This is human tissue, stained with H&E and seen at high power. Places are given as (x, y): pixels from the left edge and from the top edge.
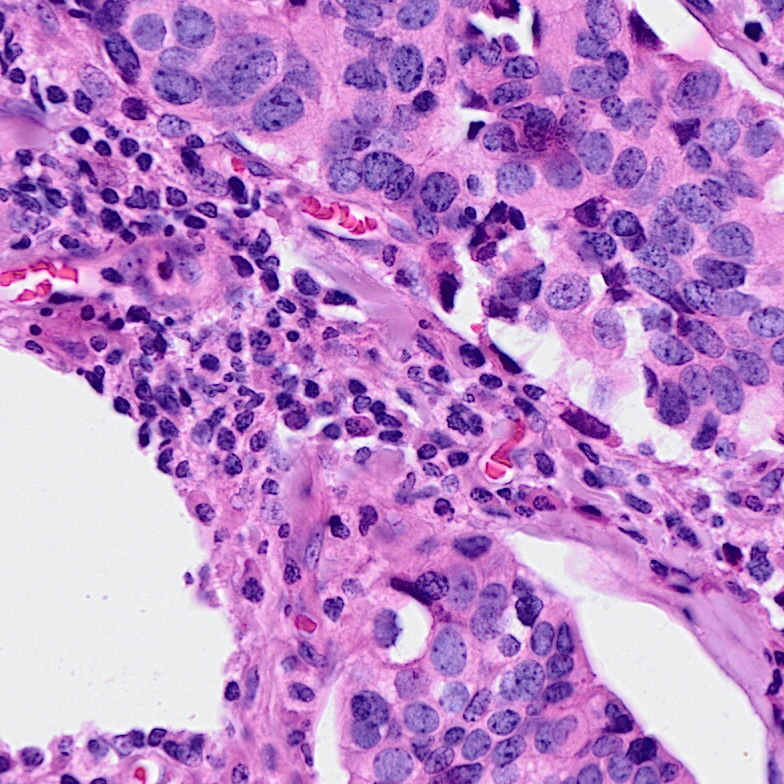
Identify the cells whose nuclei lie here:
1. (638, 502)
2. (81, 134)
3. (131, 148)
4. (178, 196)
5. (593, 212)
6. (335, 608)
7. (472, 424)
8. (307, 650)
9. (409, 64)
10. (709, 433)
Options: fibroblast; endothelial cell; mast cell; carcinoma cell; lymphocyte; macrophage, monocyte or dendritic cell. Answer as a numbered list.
1. mast cell
2. lymphocyte
3. lymphocyte
4. lymphocyte
5. carcinoma cell
6. lymphocyte
7. lymphocyte
8. endothelial cell
9. carcinoma cell
10. carcinoma cell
